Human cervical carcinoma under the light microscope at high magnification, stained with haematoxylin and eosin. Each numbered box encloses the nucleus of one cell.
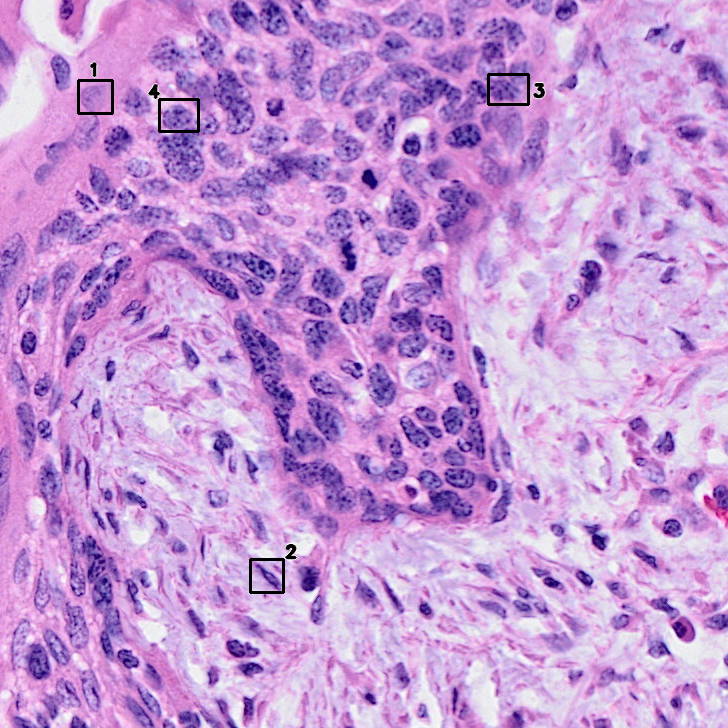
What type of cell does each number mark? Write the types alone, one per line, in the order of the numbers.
squamous carcinoma cell
fibroblast
squamous carcinoma cell
squamous carcinoma cell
